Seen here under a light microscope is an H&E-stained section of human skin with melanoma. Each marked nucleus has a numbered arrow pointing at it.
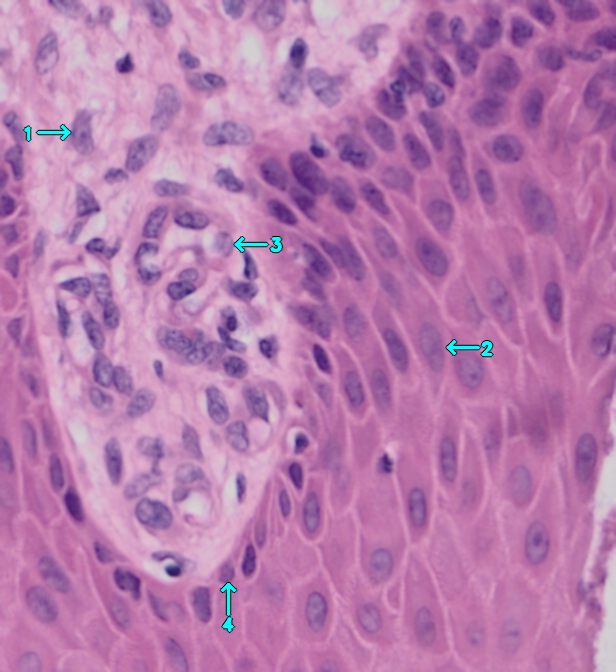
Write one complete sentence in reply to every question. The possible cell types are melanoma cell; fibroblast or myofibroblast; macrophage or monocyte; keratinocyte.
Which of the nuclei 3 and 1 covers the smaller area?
It is nucleus 3; nucleus 1 has about 2 times its area.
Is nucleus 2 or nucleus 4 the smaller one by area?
It is nucleus 4; nucleus 2 has about 4 times its area.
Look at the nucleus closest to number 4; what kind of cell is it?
It is a keratinocyte whose nucleus is nearest to number 4.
